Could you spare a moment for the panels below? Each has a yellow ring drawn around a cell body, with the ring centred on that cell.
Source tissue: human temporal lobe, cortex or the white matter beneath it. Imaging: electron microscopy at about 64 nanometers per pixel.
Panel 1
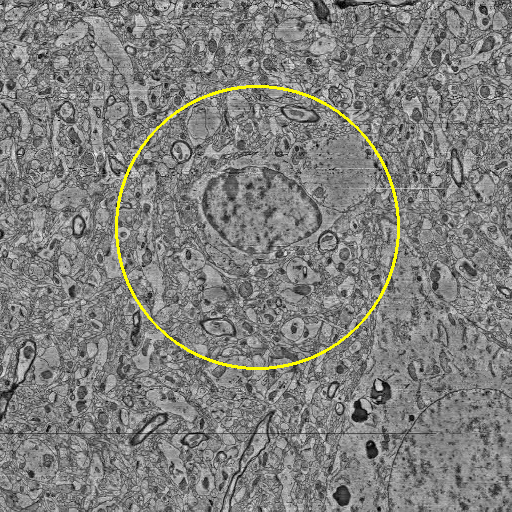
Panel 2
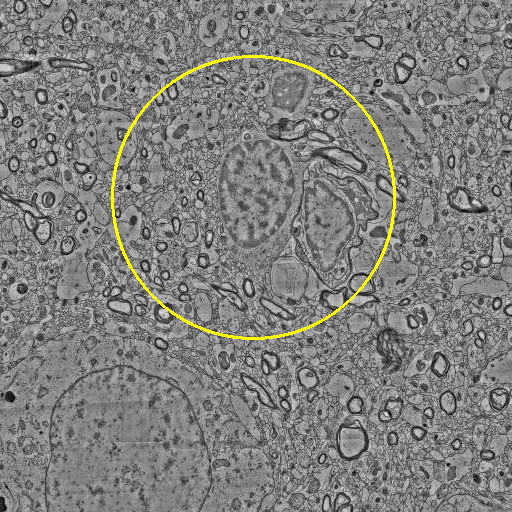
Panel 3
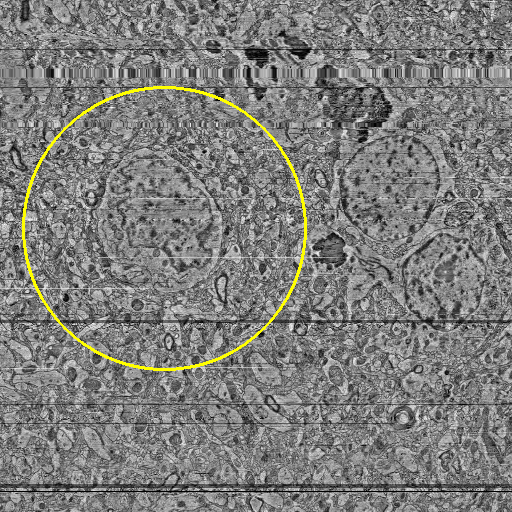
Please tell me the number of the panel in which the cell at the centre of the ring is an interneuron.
3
